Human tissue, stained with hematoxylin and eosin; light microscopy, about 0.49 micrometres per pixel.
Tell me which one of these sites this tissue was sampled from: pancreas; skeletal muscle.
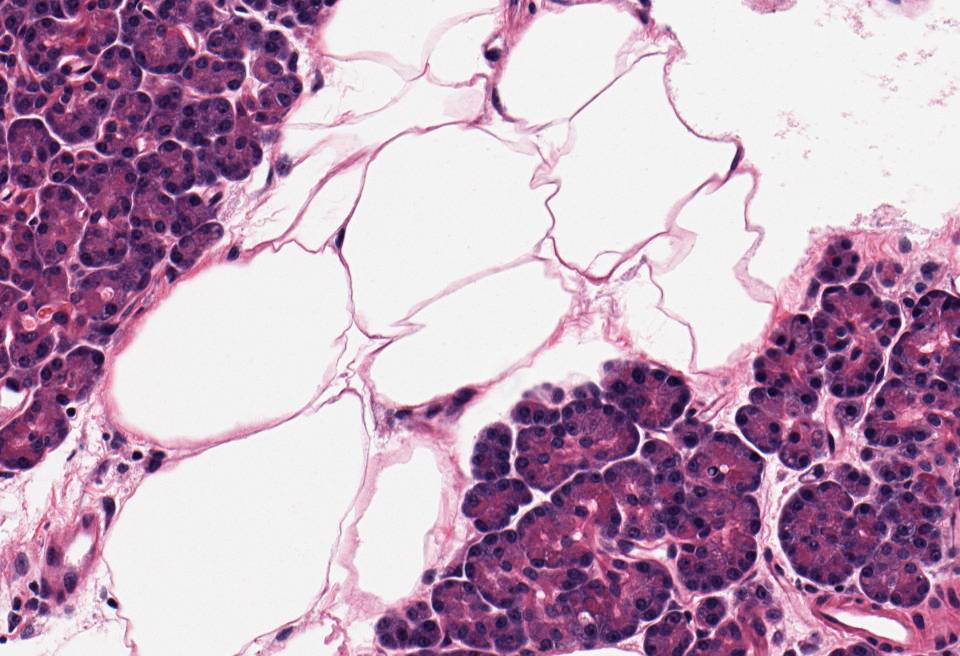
pancreas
